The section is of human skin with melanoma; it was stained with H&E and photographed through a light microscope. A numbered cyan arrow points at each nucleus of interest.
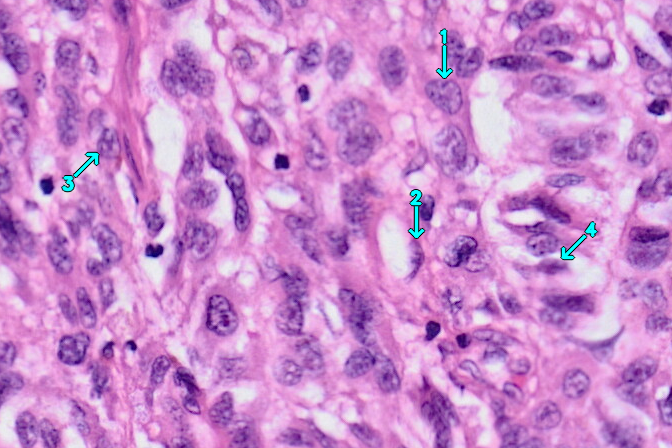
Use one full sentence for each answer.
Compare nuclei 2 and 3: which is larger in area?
Nucleus 3 is larger, with an area about 1.5 times that of nucleus 2.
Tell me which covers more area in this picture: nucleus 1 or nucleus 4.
Of the two, number 1 is bigger and takes up about 2 times the area of number 4.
